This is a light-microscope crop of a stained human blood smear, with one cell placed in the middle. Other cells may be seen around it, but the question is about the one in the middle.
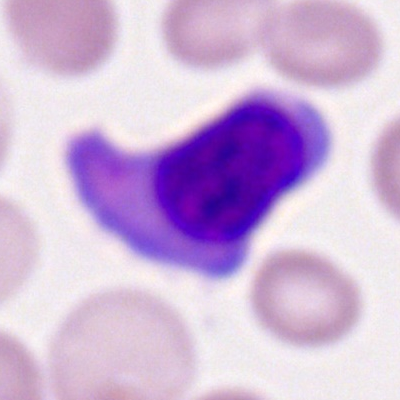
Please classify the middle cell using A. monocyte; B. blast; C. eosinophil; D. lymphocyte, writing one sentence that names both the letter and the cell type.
Option D stands as correct, the central cell being a lymphocyte.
